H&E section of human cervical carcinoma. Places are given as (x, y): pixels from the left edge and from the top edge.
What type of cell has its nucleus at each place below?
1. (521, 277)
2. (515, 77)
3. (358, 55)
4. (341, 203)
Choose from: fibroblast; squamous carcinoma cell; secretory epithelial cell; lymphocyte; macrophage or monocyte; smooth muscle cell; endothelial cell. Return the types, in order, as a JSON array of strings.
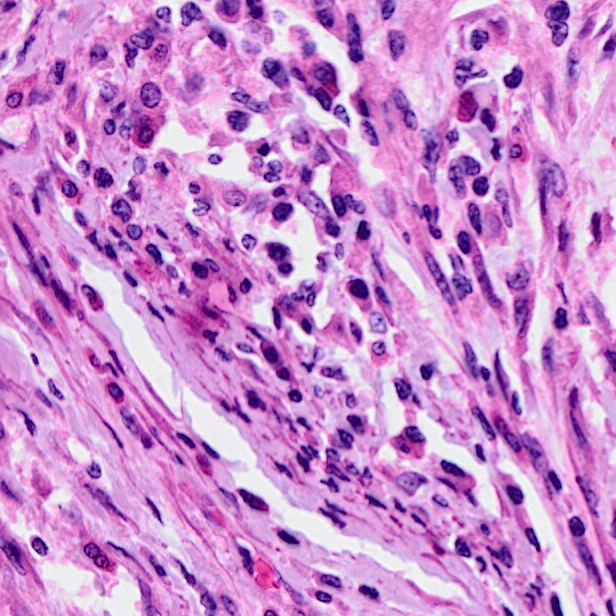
["macrophage or monocyte", "lymphocyte", "lymphocyte", "lymphocyte"]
